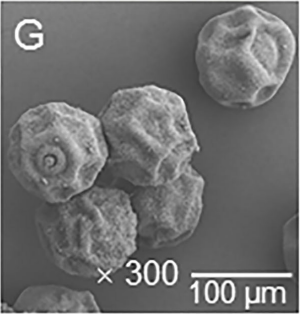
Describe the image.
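A small group of pollen grains is seen by scanning electron microscopy, four clustered together and one a little apart. They are plump and rounded, though slightly angular, with several shallow facets across the surface. The outer wall looks finely granular, and it is marked by furrows; on one grain a small circular pore with a raised rim can be seen, an aperture of the wall. Together these are well-formed pollen grains with an intact, sculptured outer wall.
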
